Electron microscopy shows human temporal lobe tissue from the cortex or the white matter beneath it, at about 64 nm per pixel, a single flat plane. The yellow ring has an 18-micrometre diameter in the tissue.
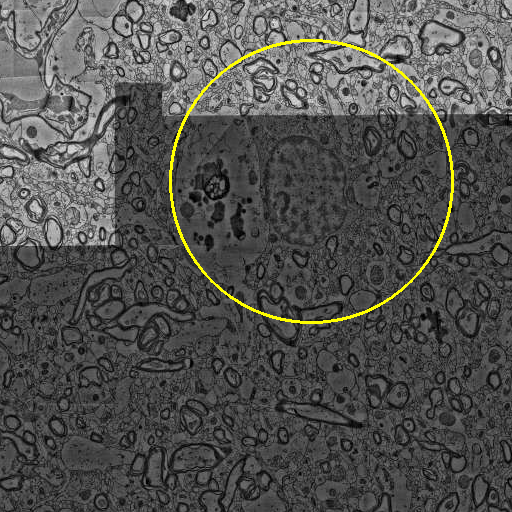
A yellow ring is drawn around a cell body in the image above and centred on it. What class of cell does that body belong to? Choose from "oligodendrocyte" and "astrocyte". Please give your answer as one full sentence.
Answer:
The yellow ring above is centred on the cell body of an oligodendrocyte.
